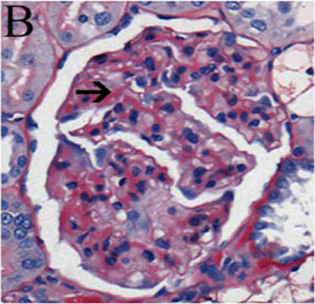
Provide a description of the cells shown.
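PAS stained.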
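This is a kidney glomerulus whose tuft looks crowded and dense. Broad magenta-stained material fills much of the space between the capillaries, and many dark blue nuclei are packed among it. Few open capillary lumina can still be made out. The tuft is separated from the surrounding capsule by a clear crescent-shaped space, and tubules lie around the outside.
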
